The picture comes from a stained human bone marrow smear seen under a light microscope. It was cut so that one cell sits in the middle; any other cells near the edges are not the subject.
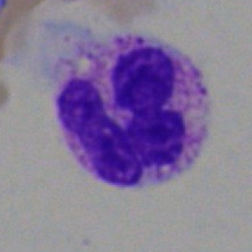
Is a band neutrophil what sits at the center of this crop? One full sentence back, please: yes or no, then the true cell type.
No, sorry, the middle cell is a segmented neutrophil rather than a band neutrophil.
